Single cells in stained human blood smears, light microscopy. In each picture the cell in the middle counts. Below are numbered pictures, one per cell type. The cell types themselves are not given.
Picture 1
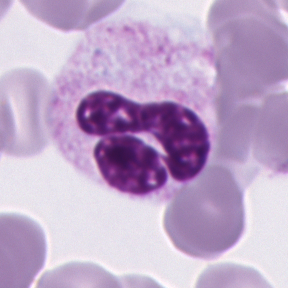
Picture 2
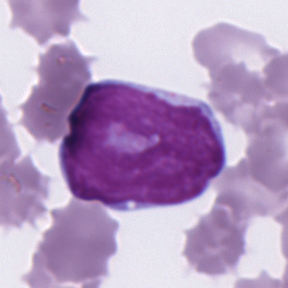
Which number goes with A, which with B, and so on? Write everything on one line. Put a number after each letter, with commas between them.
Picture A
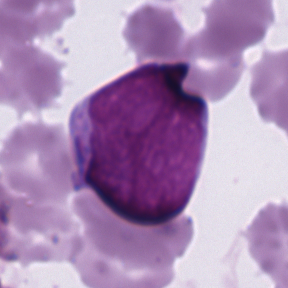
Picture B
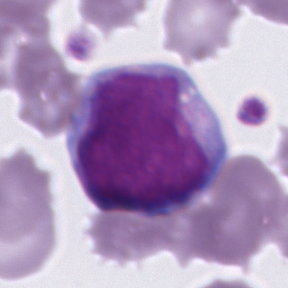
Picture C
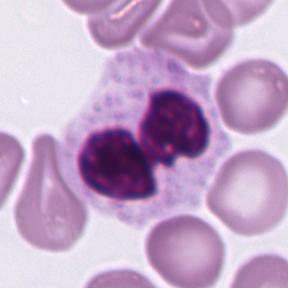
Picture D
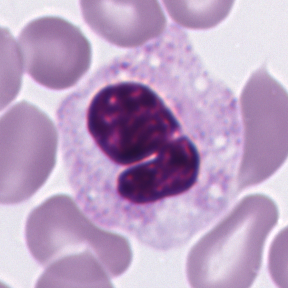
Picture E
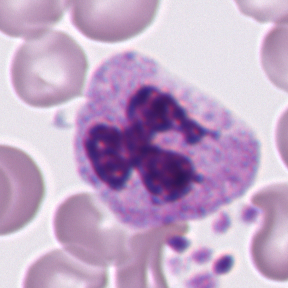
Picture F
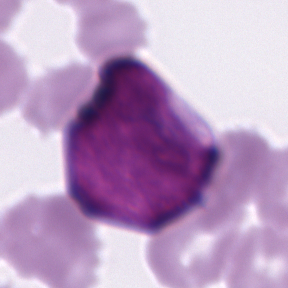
A 2, B 2, C 1, D 1, E 1, F 2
